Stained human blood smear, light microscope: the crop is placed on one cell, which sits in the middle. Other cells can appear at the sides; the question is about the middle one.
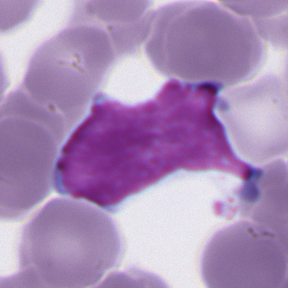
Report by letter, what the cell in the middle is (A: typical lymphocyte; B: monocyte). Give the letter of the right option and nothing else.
A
